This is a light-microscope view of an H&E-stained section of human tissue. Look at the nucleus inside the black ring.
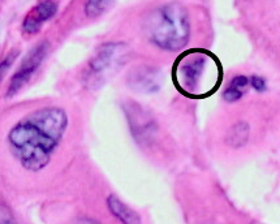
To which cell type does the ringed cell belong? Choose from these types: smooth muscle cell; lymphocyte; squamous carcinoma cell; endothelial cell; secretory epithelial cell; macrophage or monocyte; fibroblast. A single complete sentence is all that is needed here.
In short, the ringed cell on this section is a squamous carcinoma cell.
